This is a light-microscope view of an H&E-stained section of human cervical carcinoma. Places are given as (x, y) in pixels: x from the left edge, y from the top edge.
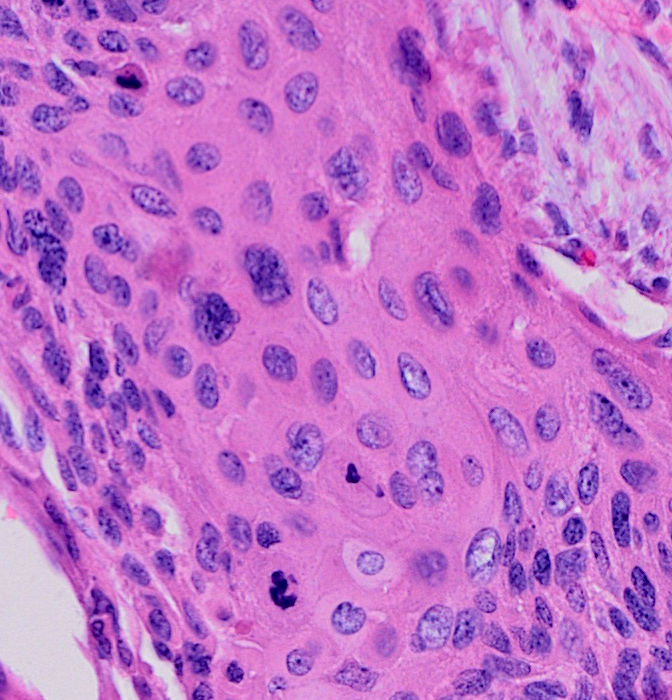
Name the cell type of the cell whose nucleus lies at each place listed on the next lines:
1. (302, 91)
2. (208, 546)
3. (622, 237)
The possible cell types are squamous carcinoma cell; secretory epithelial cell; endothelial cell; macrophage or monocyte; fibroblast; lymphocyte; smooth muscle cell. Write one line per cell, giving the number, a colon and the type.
1: squamous carcinoma cell
2: squamous carcinoma cell
3: fibroblast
